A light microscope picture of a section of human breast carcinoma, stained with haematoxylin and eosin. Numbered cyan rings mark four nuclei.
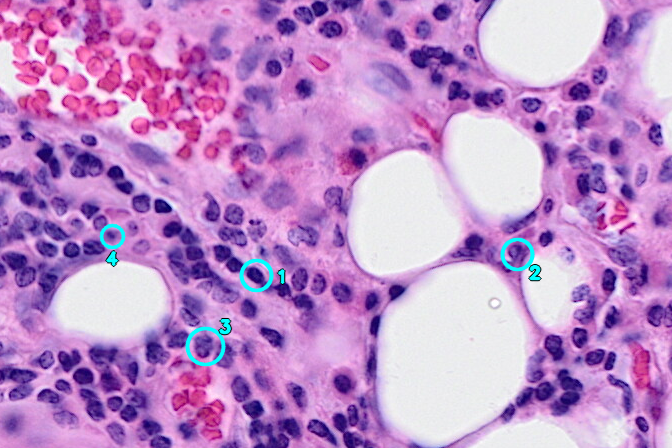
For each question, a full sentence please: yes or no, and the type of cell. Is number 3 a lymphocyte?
Yes, the cell identified by number 3 is a lymphocyte.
